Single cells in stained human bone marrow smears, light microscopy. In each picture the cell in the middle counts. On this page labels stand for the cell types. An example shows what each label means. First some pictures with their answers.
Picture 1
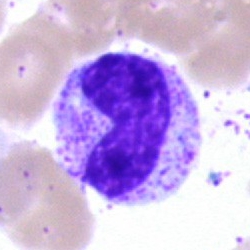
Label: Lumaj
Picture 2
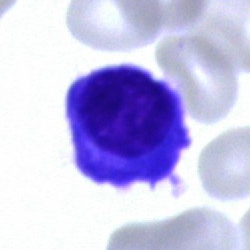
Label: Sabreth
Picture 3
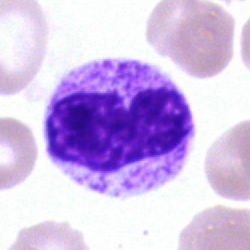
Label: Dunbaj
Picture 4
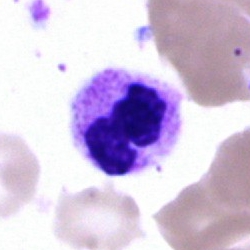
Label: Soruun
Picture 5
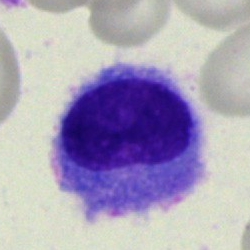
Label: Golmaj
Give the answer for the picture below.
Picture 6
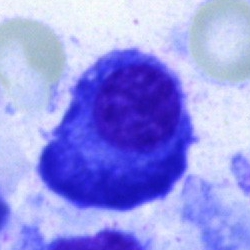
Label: Sabreth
